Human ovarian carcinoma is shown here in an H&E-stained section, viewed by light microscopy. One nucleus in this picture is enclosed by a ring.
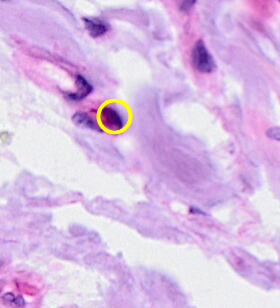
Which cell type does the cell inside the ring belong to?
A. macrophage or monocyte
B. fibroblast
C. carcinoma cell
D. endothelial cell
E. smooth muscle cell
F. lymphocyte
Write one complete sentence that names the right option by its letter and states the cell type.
The right pick is option D; the cell inside the ring is an endothelial cell.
